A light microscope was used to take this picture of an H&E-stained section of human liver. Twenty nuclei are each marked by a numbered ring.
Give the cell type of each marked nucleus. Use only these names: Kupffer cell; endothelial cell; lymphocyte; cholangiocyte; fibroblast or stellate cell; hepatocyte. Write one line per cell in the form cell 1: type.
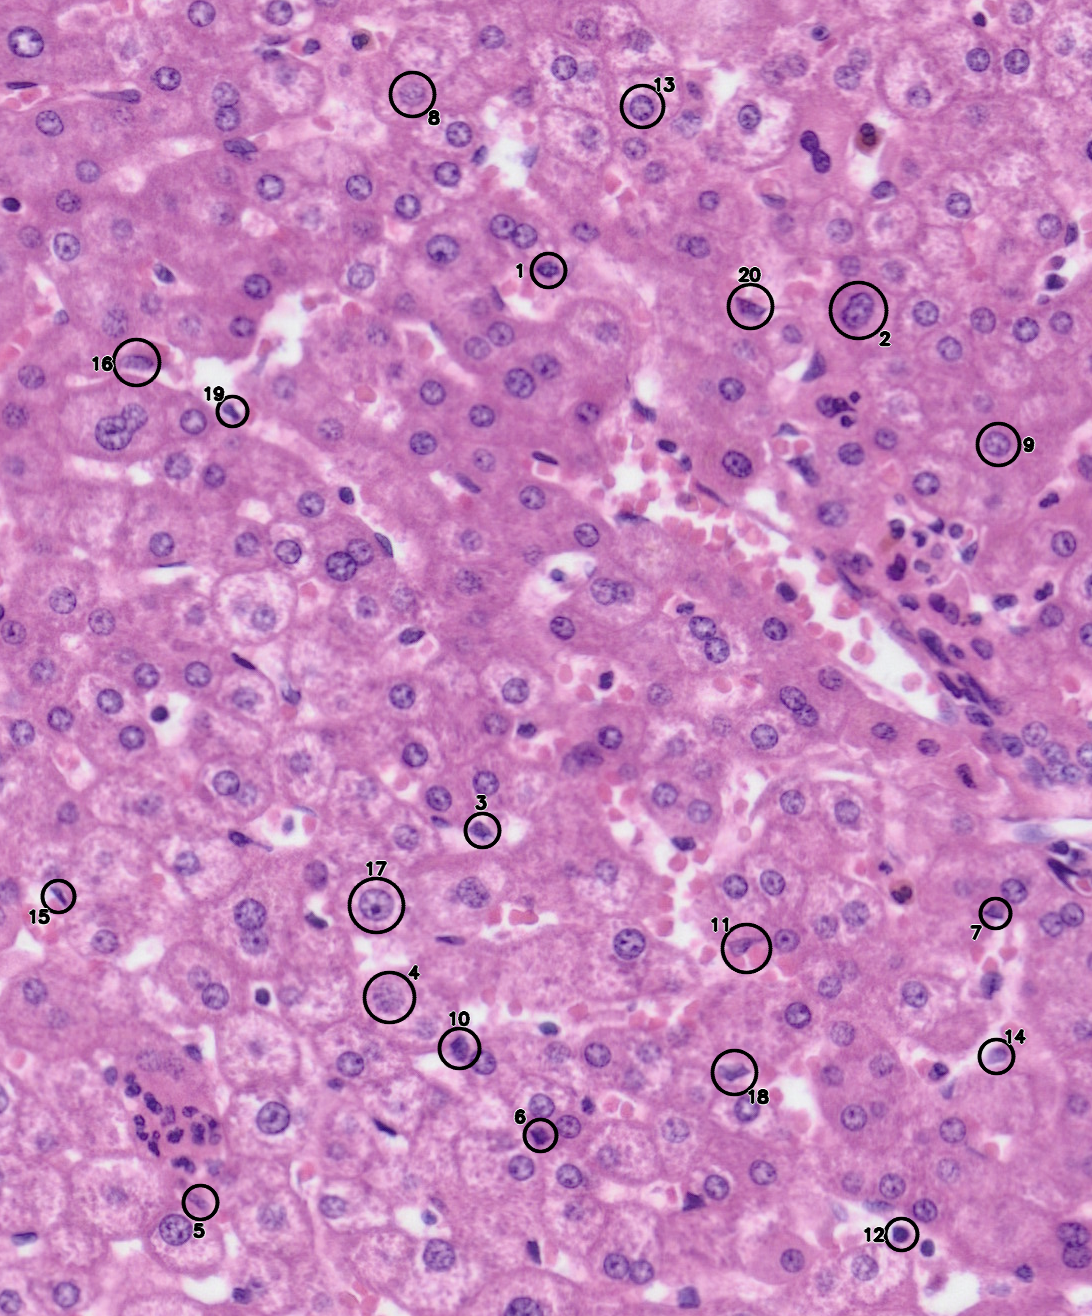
cell 1: fibroblast or stellate cell
cell 2: hepatocyte
cell 3: endothelial cell
cell 4: hepatocyte
cell 5: Kupffer cell
cell 6: fibroblast or stellate cell
cell 7: fibroblast or stellate cell
cell 8: hepatocyte
cell 9: hepatocyte
cell 10: fibroblast or stellate cell
cell 11: endothelial cell
cell 12: lymphocyte
cell 13: hepatocyte
cell 14: Kupffer cell
cell 15: endothelial cell
cell 16: Kupffer cell
cell 17: hepatocyte
cell 18: endothelial cell
cell 19: lymphocyte
cell 20: endothelial cell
